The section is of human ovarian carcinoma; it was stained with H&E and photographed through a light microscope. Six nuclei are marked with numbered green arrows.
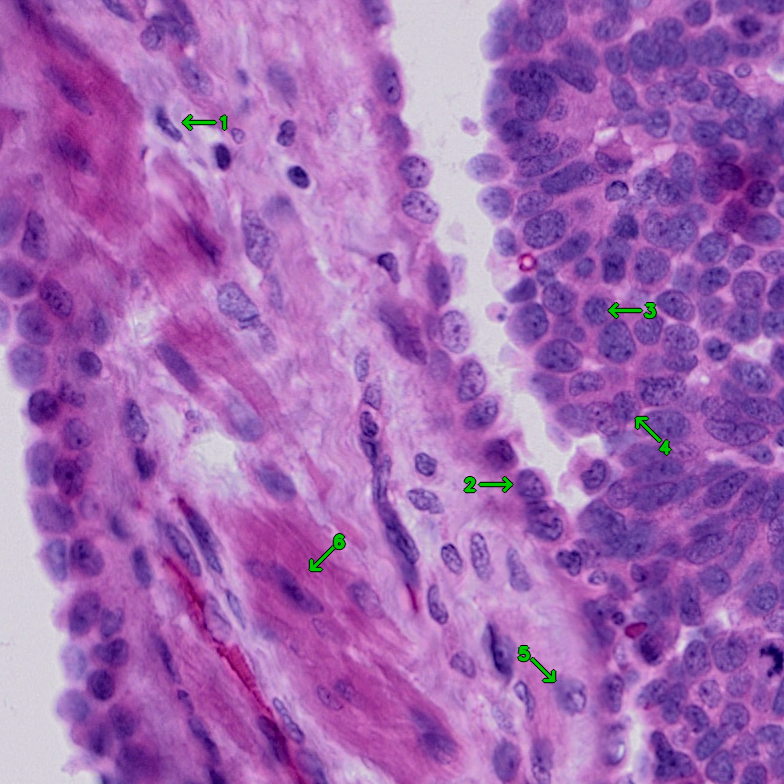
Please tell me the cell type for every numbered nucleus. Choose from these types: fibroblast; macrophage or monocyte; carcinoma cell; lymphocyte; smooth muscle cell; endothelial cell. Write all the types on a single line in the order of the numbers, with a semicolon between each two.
macrophage or monocyte; carcinoma cell; carcinoma cell; carcinoma cell; fibroblast; smooth muscle cell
